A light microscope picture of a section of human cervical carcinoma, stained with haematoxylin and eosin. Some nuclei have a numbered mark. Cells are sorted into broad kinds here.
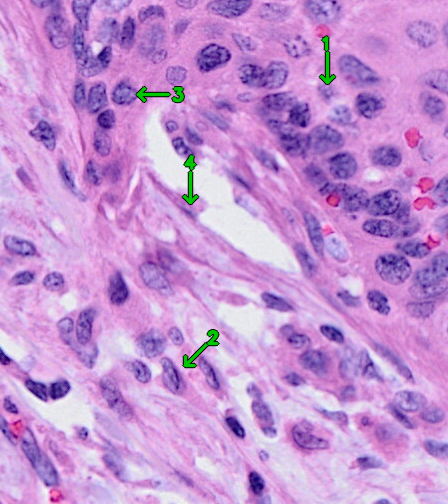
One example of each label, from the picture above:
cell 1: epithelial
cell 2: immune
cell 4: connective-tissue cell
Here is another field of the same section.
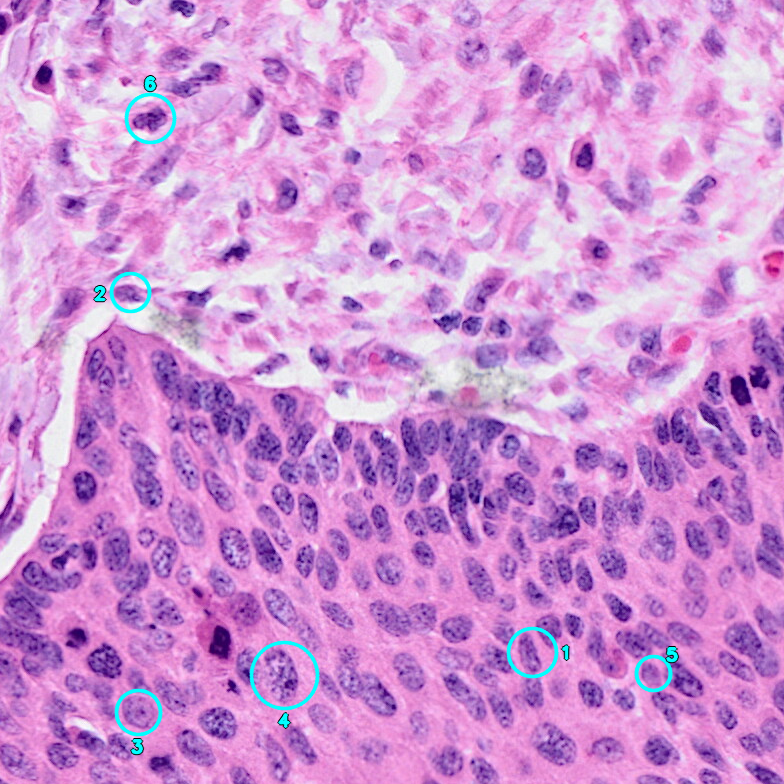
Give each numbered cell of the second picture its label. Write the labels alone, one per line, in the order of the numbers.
epithelial
connective-tissue cell
epithelial
epithelial
epithelial
immune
